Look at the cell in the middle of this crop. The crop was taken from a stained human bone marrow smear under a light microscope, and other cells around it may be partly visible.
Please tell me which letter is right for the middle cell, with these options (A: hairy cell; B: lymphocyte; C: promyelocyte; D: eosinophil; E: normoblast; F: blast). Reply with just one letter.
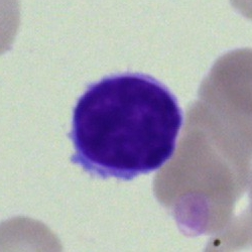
B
